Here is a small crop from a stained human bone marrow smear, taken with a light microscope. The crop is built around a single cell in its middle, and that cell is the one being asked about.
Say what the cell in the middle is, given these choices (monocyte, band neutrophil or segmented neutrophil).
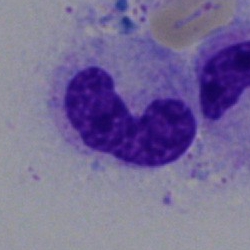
band neutrophil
